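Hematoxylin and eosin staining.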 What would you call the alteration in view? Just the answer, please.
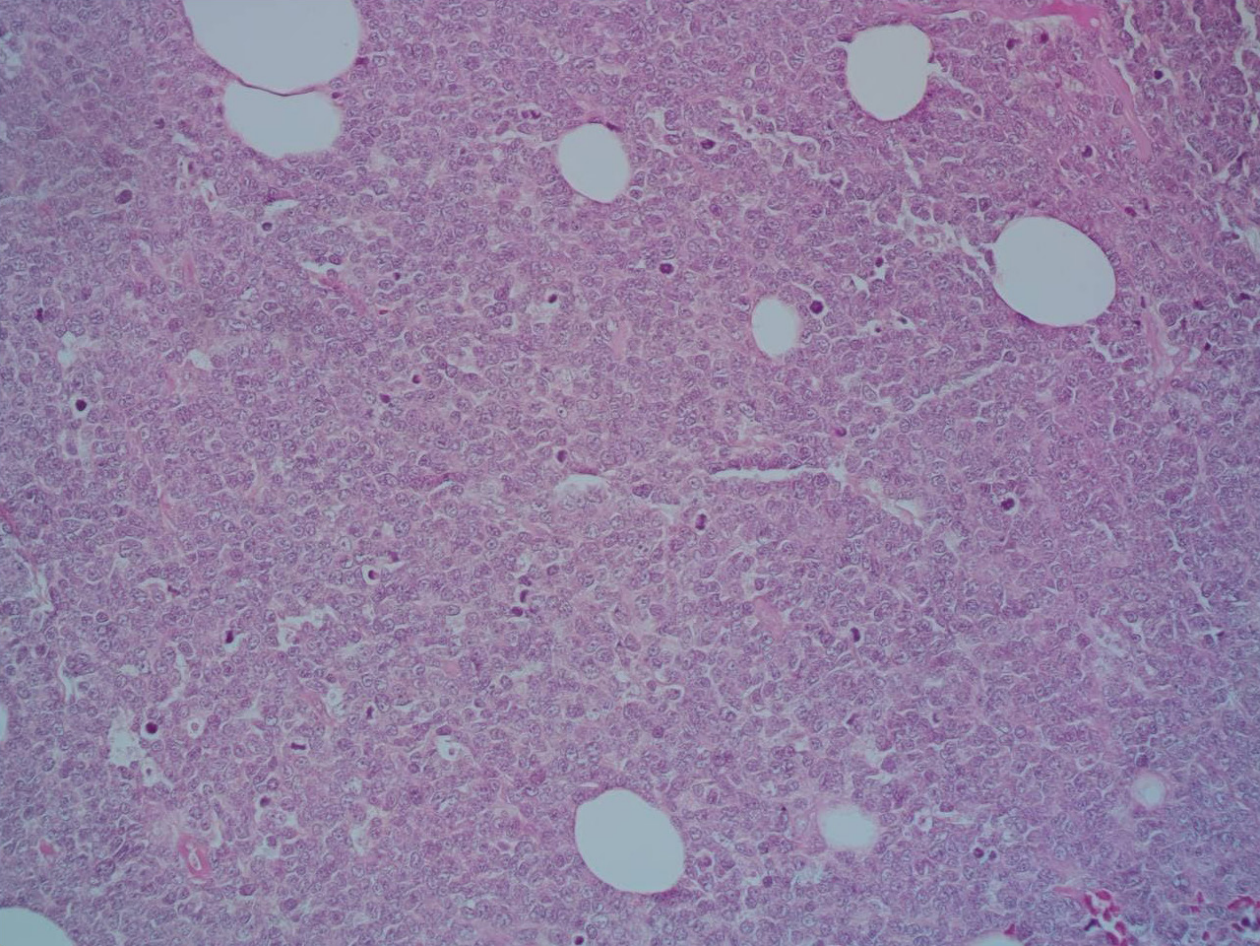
Infiltration of monomorphous medium‐sized mononuclear cells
